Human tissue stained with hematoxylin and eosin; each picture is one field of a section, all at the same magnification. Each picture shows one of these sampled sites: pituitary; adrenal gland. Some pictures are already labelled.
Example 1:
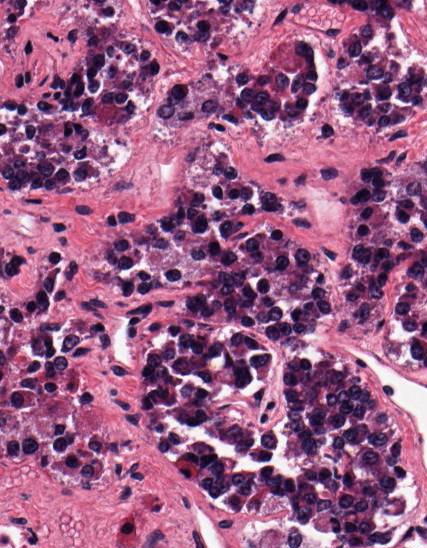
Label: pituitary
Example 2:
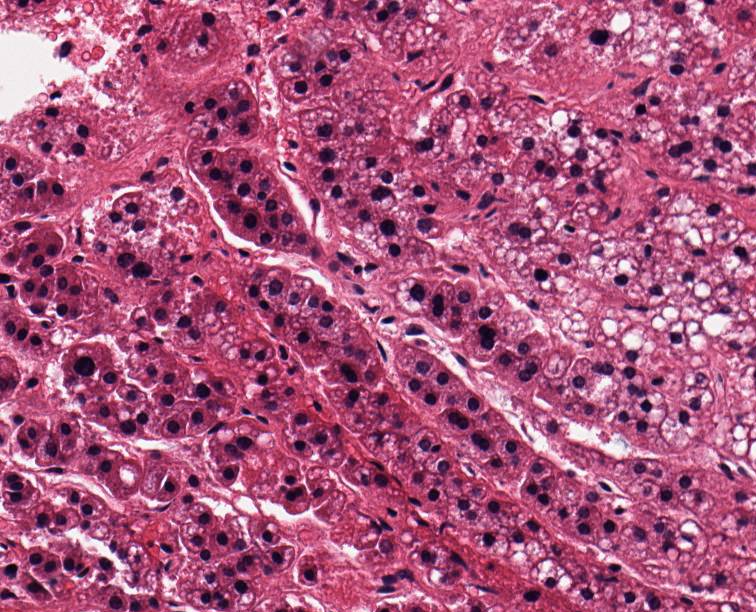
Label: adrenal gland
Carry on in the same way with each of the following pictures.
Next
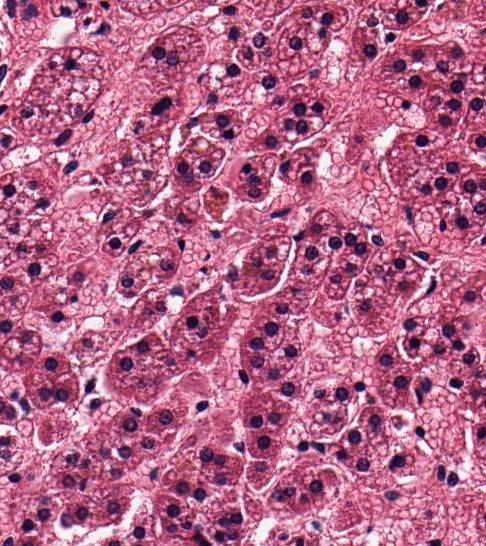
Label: adrenal gland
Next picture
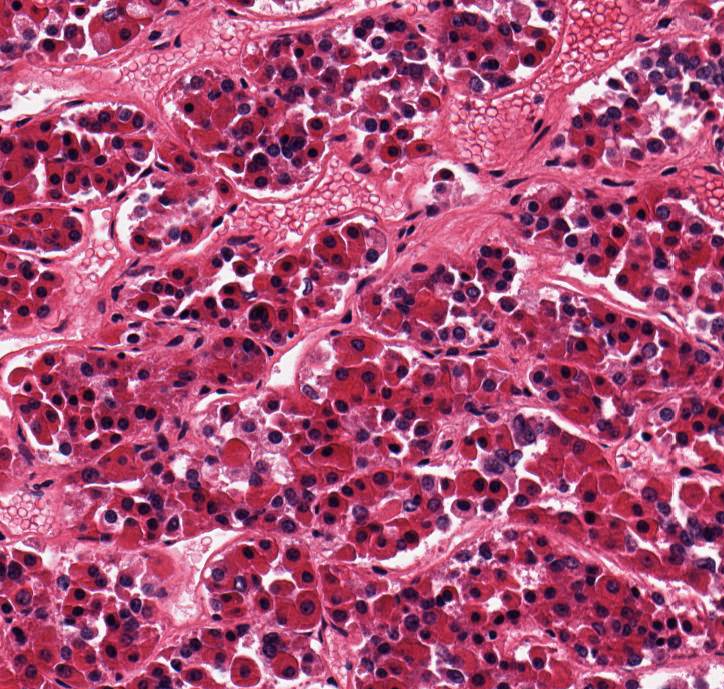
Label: pituitary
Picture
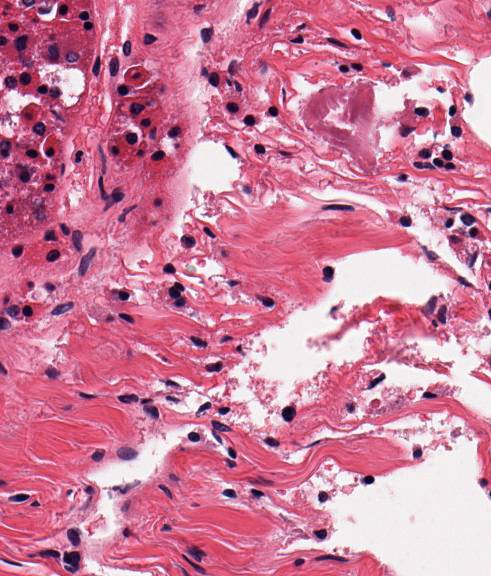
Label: pituitary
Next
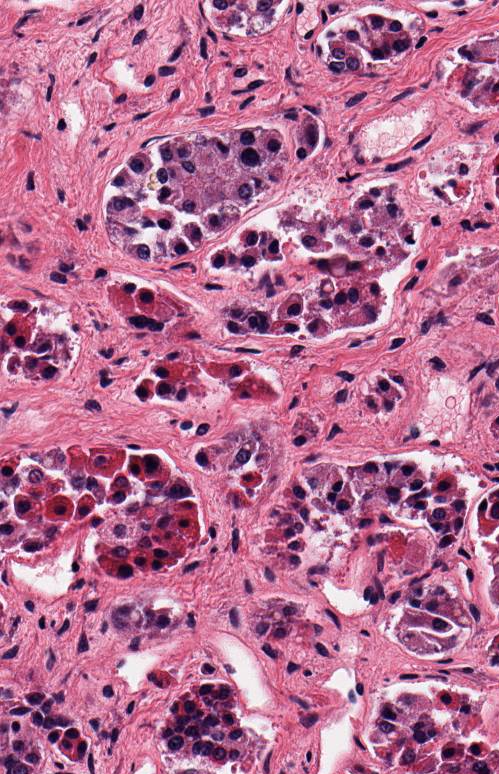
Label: pituitary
